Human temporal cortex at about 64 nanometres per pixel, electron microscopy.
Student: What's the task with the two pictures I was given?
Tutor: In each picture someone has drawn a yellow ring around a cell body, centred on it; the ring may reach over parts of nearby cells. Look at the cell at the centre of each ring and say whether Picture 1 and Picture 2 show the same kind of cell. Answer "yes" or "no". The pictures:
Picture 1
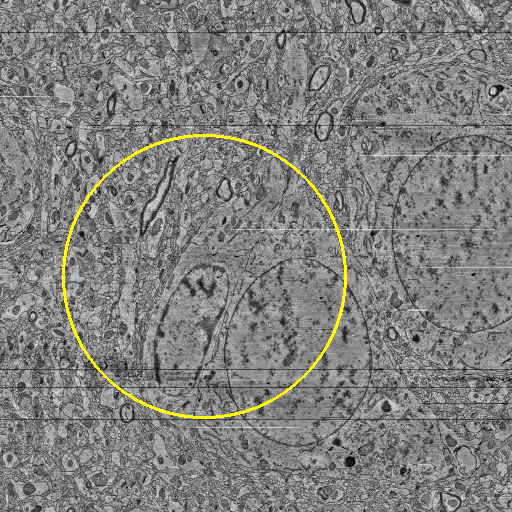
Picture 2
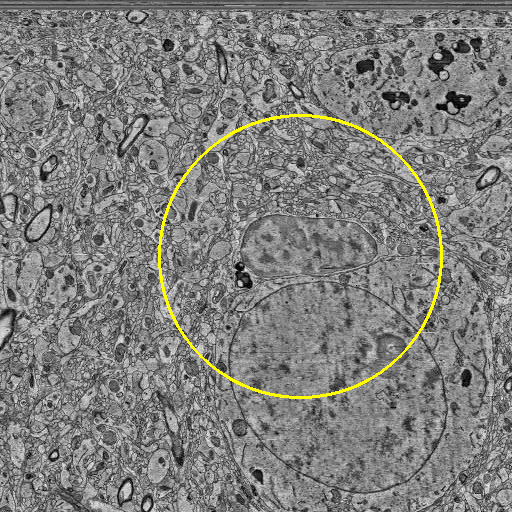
yes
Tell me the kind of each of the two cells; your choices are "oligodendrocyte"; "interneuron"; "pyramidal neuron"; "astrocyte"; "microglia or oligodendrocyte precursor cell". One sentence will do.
Each of the two cells is a microglial cell or oligodendrocyte precursor cell.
